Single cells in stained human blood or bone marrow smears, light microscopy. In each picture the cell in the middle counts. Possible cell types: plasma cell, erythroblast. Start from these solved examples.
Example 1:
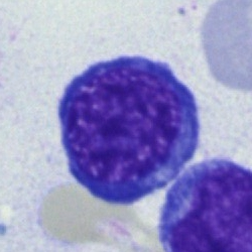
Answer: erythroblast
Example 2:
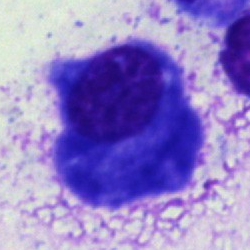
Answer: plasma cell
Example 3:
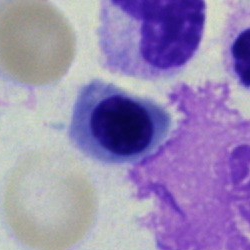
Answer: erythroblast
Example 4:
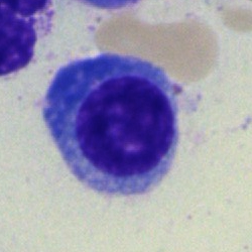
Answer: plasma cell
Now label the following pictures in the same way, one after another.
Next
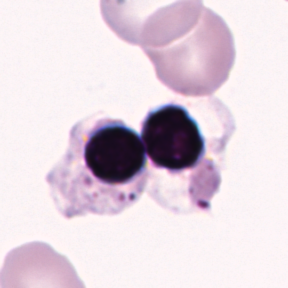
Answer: erythroblast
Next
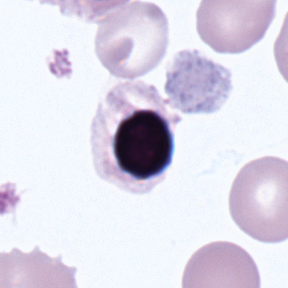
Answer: erythroblast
